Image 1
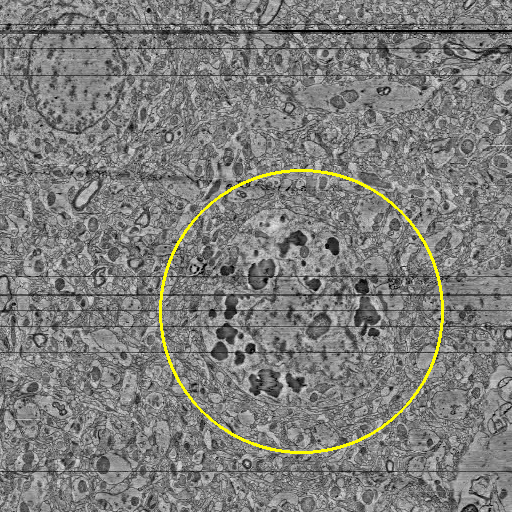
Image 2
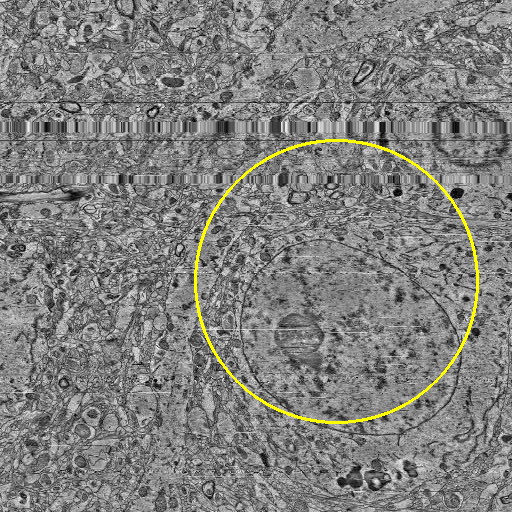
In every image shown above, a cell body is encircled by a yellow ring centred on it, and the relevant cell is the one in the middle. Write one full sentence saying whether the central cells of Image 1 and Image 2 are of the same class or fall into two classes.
The cell at the ring's centre in Image 1 and its counterpart in Image 2 fall into two classes.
